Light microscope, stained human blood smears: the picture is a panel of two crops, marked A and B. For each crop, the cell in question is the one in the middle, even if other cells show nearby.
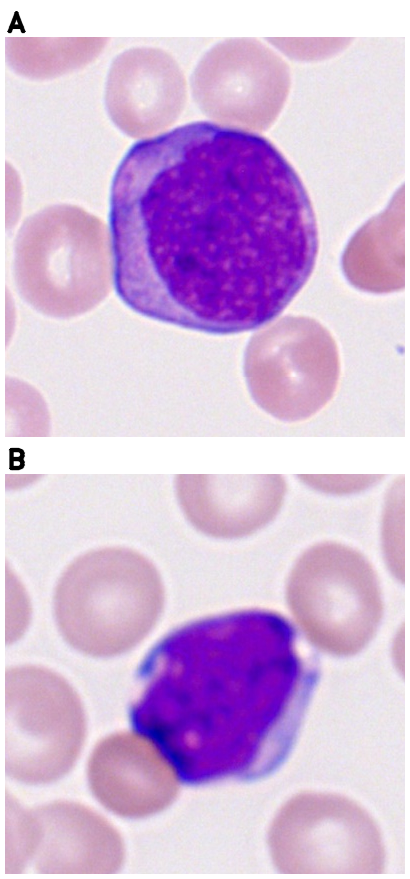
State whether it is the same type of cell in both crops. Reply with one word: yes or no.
yes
